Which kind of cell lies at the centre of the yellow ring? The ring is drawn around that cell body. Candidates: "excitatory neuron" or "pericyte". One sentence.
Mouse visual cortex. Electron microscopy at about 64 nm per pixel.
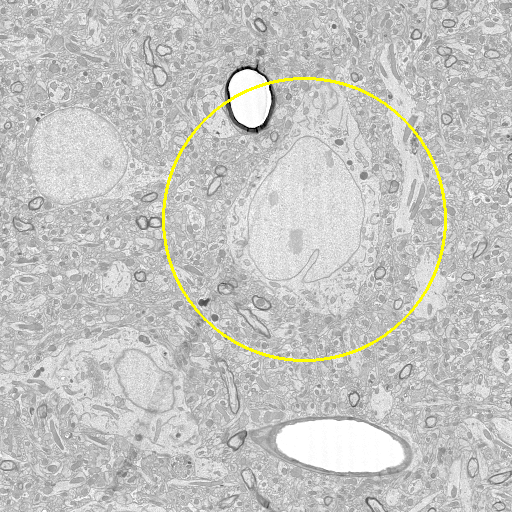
Lying at the centre of the ring is an excitatory neuron.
